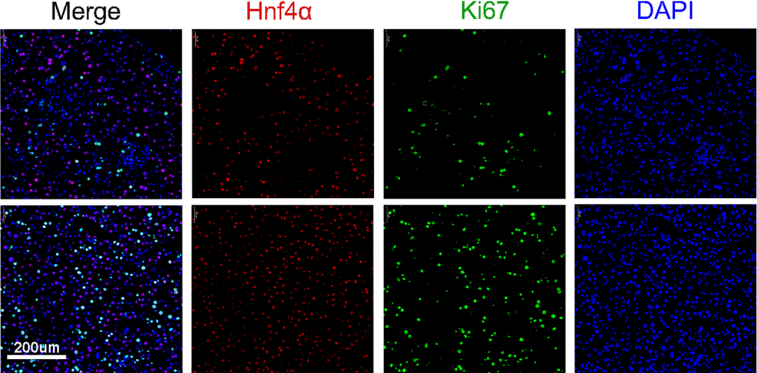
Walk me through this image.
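Two rows of low-magnification fluorescence views of liver tissue are seen, each split into a merged image and separate red, green and blue channels. The blue channel shows many small round nuclei spread fairly evenly across the field without obvious layering. The red channel marks a scattered set of round nuclei, and the green channel marks another scattered set of round nuclei, some of which coincide with red ones and appear as mixed colours in the merged image. These are nuclei of liver cells, a portion of which carry both the red and green nuclear labels.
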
